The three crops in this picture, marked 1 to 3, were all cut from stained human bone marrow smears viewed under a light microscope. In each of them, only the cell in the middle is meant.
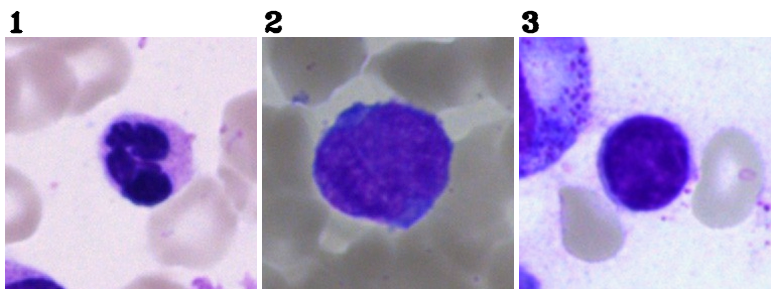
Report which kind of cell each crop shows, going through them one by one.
1: segmented neutrophil
2: blast
3: lymphocyte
